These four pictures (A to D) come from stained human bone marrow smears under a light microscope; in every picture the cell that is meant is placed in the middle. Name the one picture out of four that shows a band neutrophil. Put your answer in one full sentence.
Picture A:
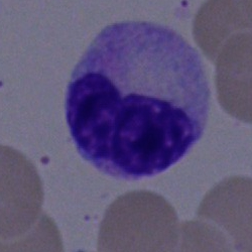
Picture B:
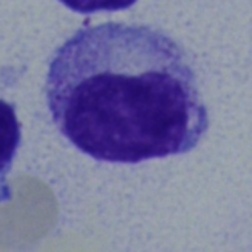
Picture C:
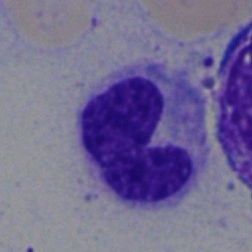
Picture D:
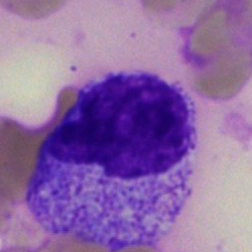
Picture C is the one that shows the band neutrophil.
